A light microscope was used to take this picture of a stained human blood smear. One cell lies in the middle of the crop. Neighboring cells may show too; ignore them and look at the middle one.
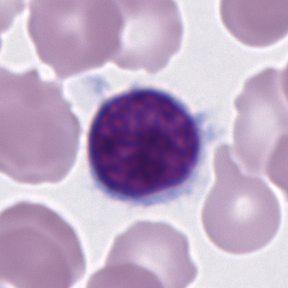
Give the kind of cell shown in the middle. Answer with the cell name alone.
hairy cell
